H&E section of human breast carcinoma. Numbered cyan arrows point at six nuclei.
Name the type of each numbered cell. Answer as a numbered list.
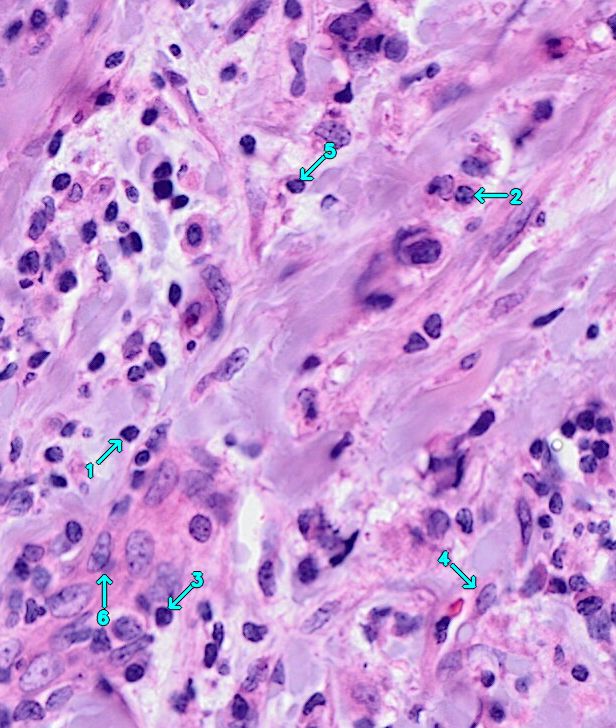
1. lymphocyte
2. mast cell
3. lymphocyte
4. endothelial cell
5. lymphocyte
6. endothelial cell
